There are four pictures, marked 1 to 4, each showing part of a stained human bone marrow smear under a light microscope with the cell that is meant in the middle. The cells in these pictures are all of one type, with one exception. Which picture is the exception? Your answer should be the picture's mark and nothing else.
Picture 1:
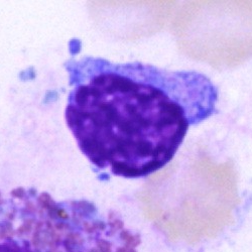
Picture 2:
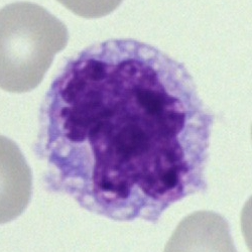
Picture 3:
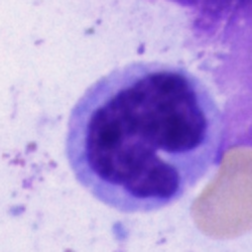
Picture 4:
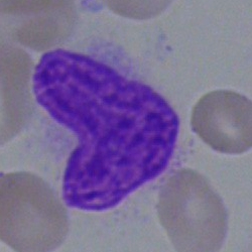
1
